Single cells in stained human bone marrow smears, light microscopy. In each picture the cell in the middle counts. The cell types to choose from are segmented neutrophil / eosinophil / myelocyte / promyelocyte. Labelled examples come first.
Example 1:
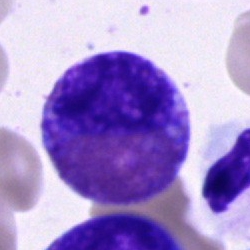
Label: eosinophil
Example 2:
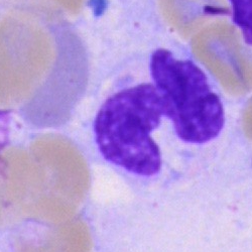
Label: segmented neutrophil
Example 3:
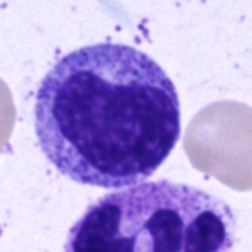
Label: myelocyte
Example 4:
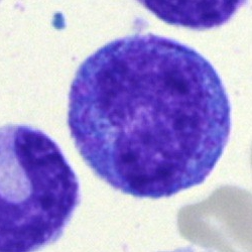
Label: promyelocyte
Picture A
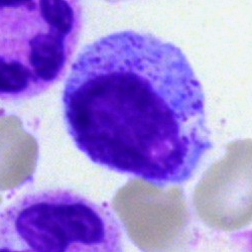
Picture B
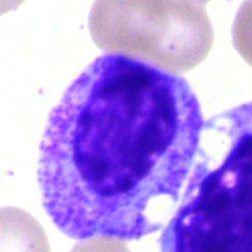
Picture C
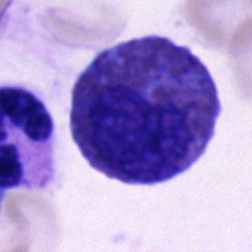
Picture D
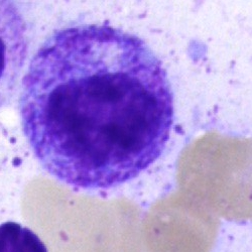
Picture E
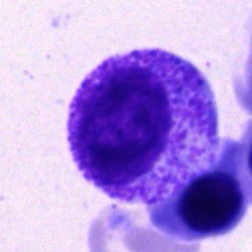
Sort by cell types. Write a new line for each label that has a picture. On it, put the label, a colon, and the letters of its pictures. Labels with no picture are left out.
eosinophil: C
myelocyte: A, B, D, E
